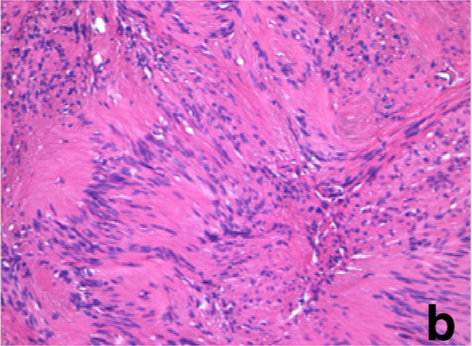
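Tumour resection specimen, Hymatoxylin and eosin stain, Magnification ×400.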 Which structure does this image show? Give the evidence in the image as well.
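Elongated cells run in bundles that cross one another in different directions. Nuclei are slender and spindle-shaped. Pink fibrillar cytoplasm lies between the nuclei.
Conclusion: interlacing bundles of elongated cells with spindle-shaped nuclei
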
